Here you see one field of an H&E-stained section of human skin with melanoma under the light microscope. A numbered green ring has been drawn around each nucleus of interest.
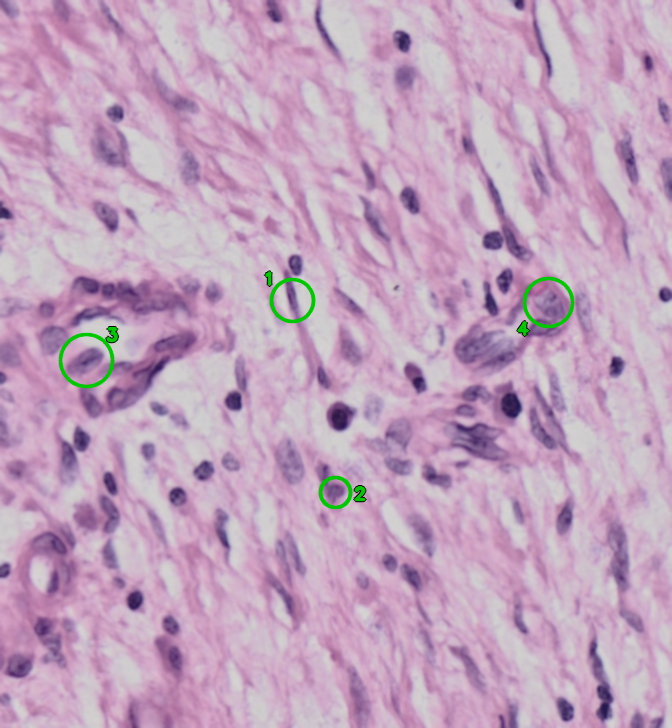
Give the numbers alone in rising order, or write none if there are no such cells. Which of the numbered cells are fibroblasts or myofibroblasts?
1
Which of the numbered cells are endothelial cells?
3, 4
